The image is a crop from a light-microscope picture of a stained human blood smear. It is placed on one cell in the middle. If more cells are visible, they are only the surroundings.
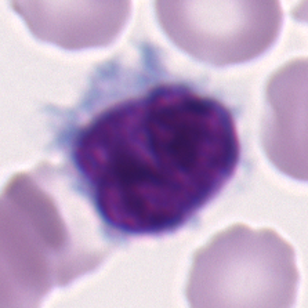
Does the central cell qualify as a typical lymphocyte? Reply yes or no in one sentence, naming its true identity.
No, the central cell here is a hairy cell; calling it a typical lymphocyte is not right.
